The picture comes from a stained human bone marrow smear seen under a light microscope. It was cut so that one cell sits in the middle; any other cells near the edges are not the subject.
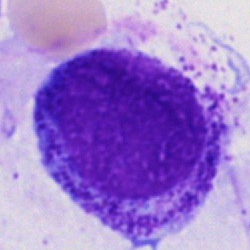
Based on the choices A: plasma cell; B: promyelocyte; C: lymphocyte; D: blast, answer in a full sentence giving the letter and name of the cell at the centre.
The one cell at the centre is a promyelocyte, as correctly stated in option B.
